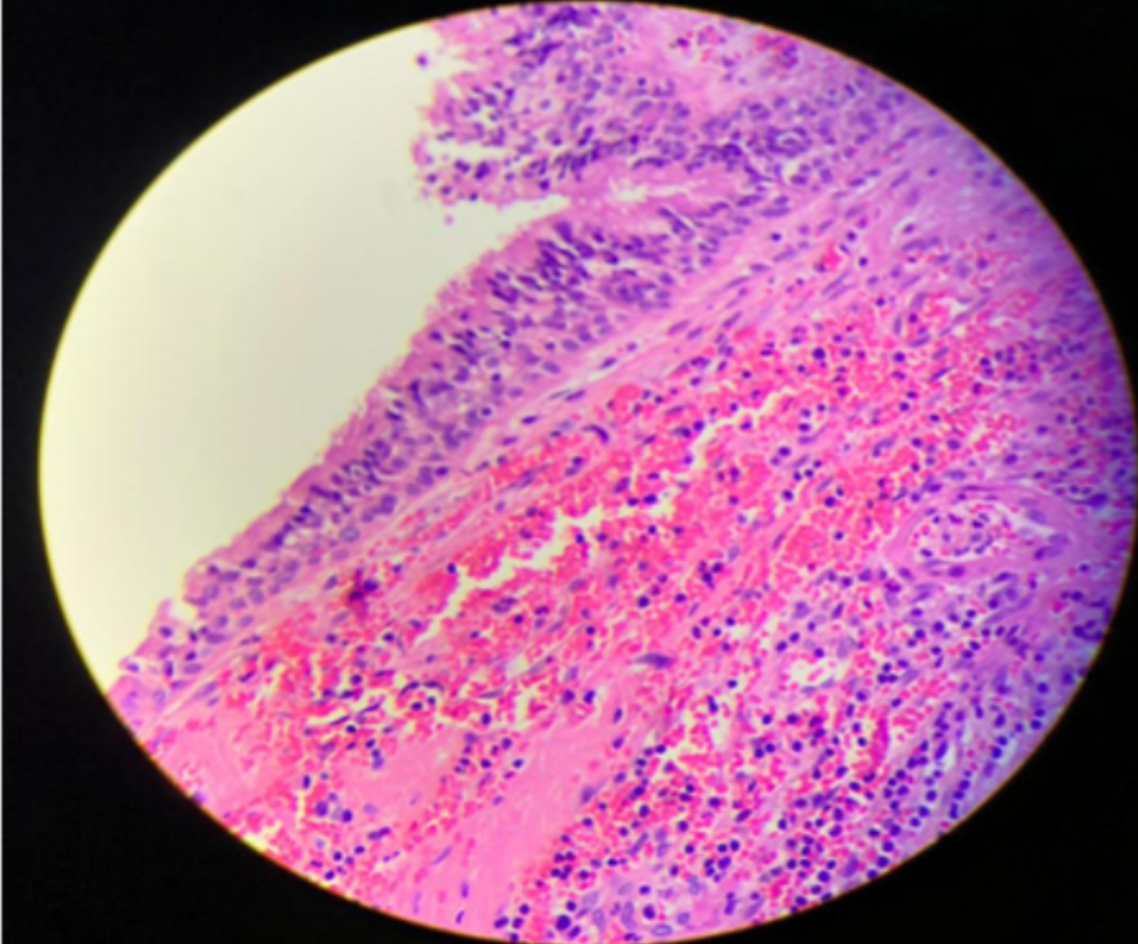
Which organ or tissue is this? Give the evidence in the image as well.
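A multilayered-looking lining of tall columnar cells faces the empty lumen at the upper left. The elongated nuclei of the lining lie at several different heights. Beneath the lining lies a wall of pink connective tissue with many red blood cells and small dark round nuclei.
Answer: respiratory epithelium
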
